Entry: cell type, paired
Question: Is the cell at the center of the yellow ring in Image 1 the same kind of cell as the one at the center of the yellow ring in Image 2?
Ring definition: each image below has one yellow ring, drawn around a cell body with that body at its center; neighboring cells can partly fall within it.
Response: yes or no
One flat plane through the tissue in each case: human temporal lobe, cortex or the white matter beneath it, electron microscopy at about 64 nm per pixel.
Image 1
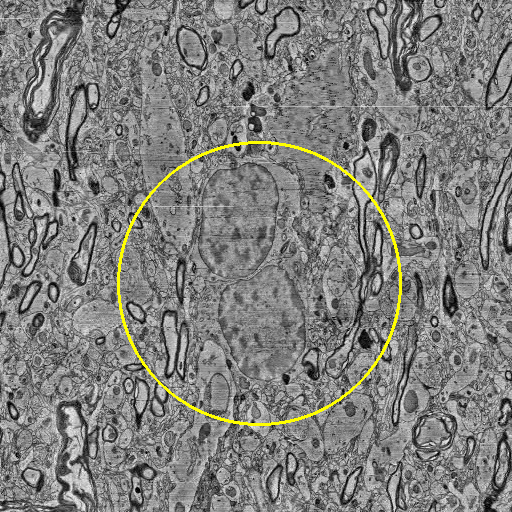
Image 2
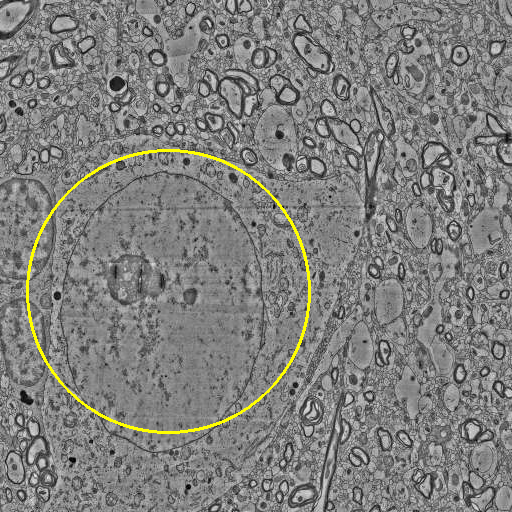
no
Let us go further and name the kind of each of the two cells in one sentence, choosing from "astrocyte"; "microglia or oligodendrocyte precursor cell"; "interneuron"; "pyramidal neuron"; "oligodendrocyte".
The ring of the first picture is on an oligodendrocyte, the ring of the second on a pyramidal neuron.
